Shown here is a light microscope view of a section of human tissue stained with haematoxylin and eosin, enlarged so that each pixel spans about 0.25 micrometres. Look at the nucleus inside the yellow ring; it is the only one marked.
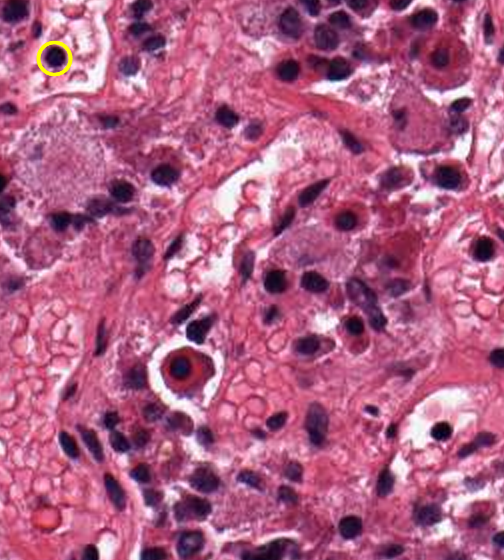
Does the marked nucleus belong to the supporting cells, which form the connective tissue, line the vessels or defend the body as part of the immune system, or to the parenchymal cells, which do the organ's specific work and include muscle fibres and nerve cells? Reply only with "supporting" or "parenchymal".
supporting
